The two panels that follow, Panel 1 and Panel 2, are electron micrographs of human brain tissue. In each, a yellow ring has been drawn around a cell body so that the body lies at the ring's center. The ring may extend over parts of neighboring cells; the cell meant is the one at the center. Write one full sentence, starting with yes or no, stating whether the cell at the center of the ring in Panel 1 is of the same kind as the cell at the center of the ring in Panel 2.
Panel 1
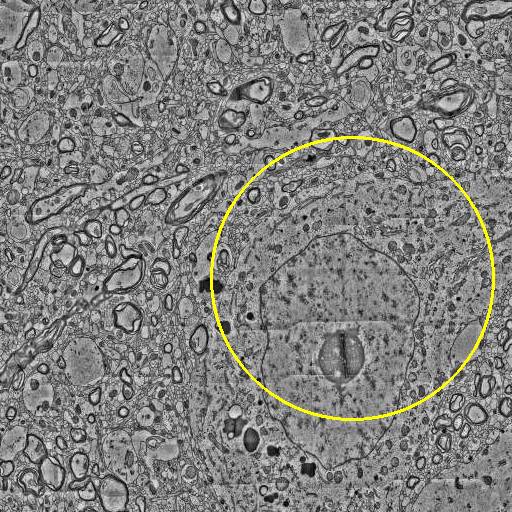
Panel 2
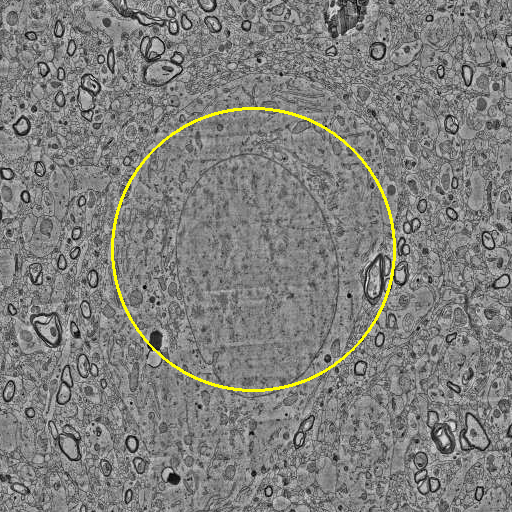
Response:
Yes, the cells in both panels are of the same kind.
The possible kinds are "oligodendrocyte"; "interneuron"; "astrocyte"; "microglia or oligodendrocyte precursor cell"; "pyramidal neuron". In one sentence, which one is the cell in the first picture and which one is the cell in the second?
Both cells are the same kind, each one being a pyramidal neuron.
